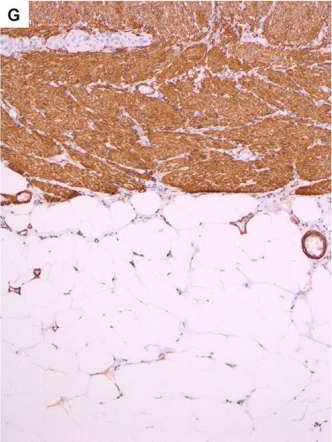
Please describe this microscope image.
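The upper half is filled with dense, intensely brown smooth muscle bundles, the muscularis propria, divided into fascicles by thin pale septa. Its lower border is sharp and meets adipose tissue. Below, fat cells appear as large empty polygonal spaces with thin membranes and occasional flattened nuclei at their edges. Small vessels among the fat have brown rims in their walls. The fat itself is unstained, so the brown stain is confined to muscle and vessel walls.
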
